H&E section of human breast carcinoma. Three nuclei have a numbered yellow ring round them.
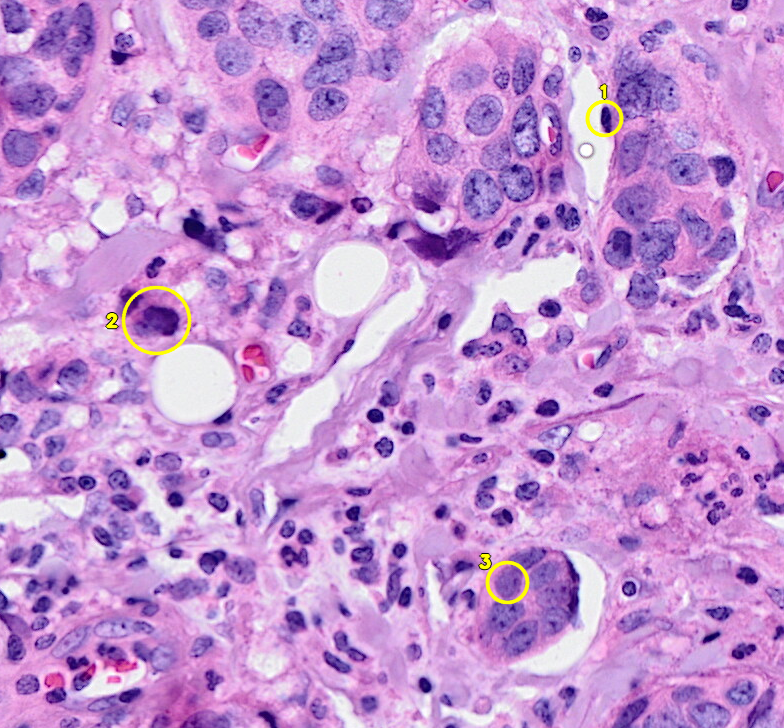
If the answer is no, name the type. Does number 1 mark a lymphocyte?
Yes.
